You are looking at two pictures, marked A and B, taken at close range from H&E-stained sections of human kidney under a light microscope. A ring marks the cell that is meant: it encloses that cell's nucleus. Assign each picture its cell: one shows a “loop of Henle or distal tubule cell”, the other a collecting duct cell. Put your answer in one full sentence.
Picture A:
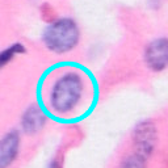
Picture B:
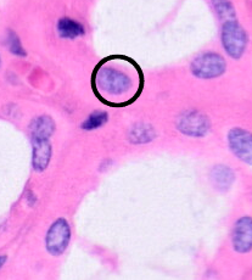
The cell in picture A is a collecting duct cell, and the one in picture B is a “loop of Henle or distal tubule cell”.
